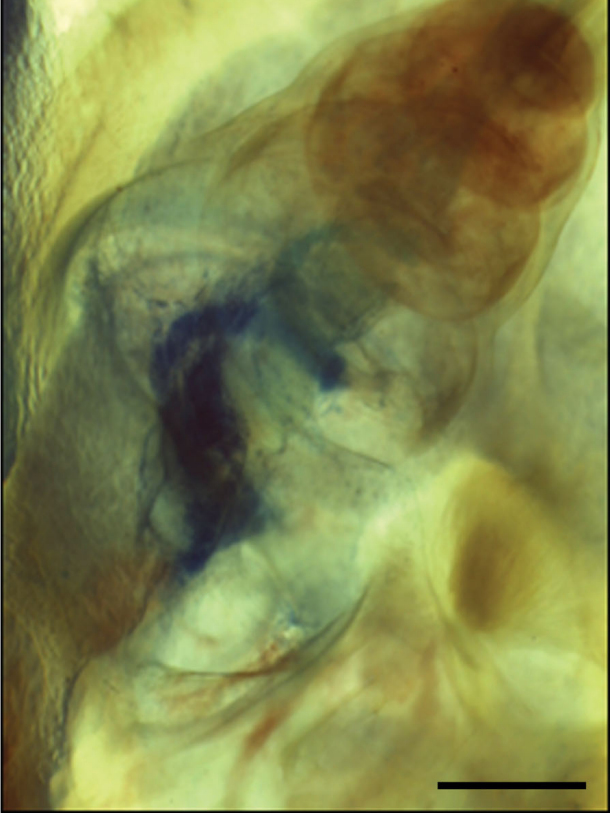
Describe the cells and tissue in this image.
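This is a whole cleared cochlea seen at low magnification, with its coiled turns visible as translucent, overlapping rounded outlines against a pale yellowish background. Fainter blue spreads into neighbouring tissue around it. The upper part of the coil appears brownish and unstained by blue. Individual cells cannot be resolved at this scale; only the outline of the turns and the course of the stained canal are seen.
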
